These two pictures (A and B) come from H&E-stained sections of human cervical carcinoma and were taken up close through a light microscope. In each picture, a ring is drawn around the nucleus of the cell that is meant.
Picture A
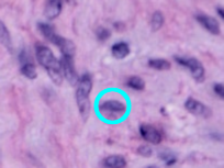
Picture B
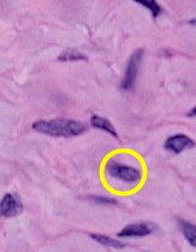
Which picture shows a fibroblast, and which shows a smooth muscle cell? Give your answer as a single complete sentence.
It is picture A that shows a smooth muscle cell, and picture B that shows a fibroblast.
